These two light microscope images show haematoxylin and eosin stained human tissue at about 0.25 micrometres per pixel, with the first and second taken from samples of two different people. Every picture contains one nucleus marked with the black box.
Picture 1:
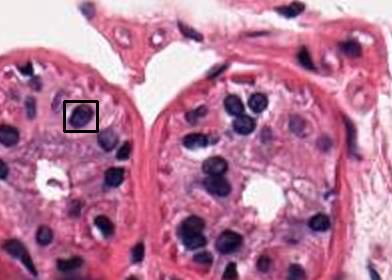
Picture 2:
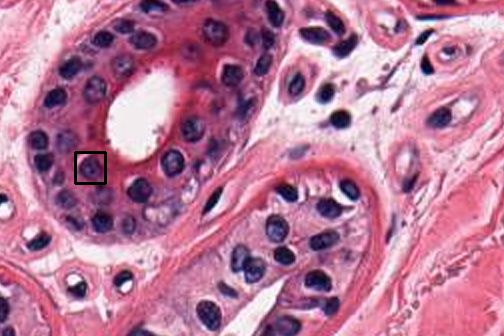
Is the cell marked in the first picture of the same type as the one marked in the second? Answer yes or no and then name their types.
Yes, both are sweat gland cells.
